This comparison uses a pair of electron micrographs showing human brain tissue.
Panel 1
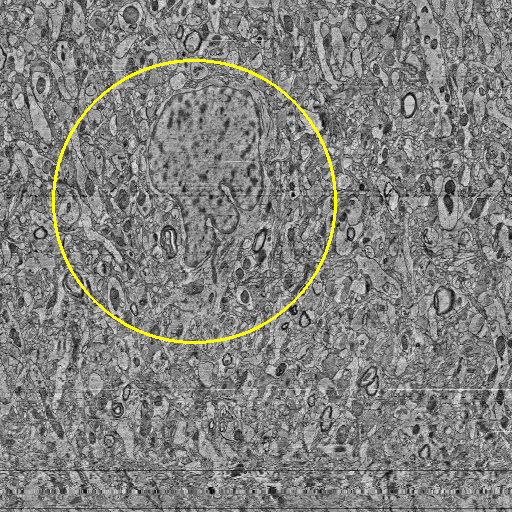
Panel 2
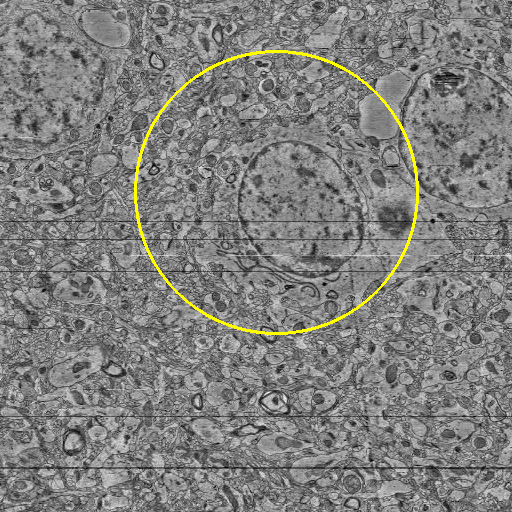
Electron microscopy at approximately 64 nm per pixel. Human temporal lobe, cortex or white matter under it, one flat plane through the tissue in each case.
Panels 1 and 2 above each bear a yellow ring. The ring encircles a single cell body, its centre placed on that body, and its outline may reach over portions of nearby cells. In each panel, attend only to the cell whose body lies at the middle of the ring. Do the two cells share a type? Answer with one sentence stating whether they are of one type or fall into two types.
In Panel 1 and Panel 2, the cells at the centres of the rings fall into two types.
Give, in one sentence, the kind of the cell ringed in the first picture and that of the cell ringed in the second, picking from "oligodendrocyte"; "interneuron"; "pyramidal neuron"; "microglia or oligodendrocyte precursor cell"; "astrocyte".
For the first picture it is a microglial cell or oligodendrocyte precursor cell; for the second, an astrocyte.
